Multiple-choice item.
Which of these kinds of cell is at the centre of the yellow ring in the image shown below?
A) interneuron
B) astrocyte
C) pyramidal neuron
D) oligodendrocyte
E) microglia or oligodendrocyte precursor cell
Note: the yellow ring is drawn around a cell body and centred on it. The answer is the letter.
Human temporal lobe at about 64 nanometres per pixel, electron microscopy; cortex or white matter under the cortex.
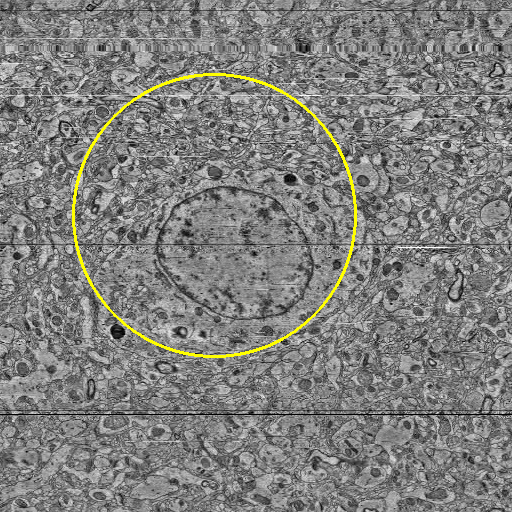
C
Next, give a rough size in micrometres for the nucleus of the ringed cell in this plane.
In this plane, the nucleus of the cell at the centre of the ring measures about 10 by 9 micrometres.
